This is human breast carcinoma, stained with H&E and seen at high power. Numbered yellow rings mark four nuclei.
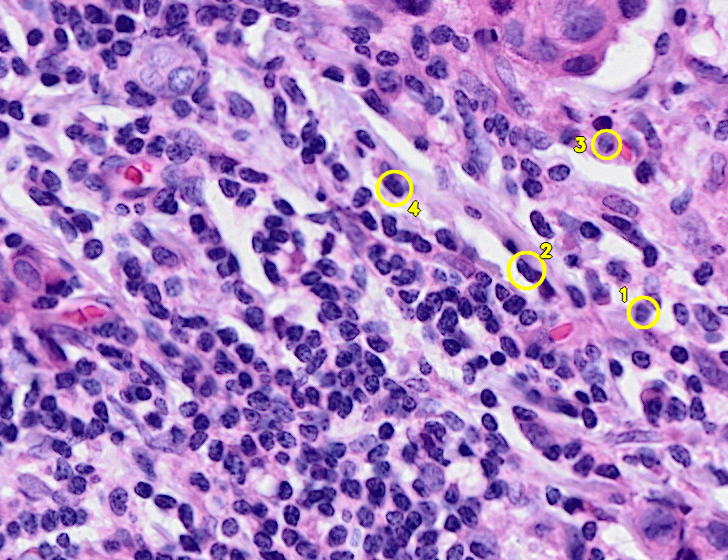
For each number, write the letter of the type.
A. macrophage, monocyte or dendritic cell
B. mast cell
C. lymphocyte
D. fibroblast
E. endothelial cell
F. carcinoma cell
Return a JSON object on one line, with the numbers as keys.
{"1": "C", "2": "C", "3": "E", "4": "C"}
